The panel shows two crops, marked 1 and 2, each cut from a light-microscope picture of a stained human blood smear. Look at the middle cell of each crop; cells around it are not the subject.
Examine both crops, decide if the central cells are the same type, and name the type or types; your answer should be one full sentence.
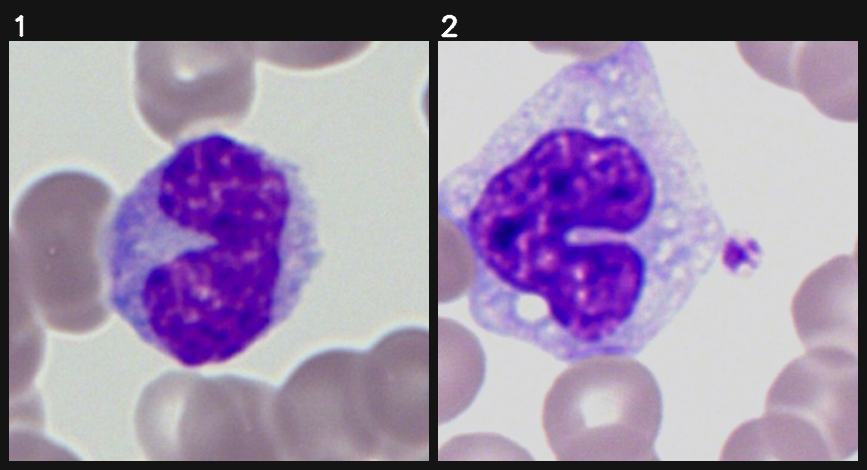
Yes, it is monocytes that occupy the middle of both crops.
